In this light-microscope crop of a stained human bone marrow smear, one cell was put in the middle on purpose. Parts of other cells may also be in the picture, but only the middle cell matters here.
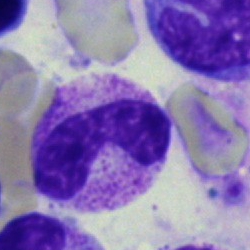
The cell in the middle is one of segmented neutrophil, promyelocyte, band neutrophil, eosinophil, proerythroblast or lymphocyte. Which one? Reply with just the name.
band neutrophil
